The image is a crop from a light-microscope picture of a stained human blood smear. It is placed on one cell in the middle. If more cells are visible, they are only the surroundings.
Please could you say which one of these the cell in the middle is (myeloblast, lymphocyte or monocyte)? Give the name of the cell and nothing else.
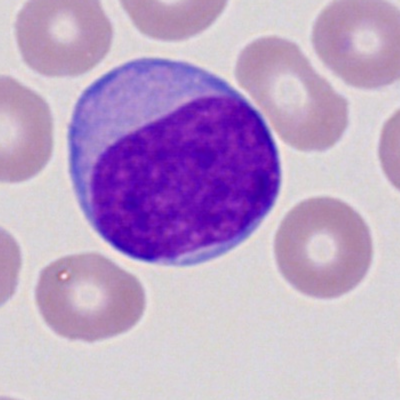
myeloblast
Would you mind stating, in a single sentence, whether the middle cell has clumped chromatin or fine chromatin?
Its nuclear chromatin is gathered into coarse clumps.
